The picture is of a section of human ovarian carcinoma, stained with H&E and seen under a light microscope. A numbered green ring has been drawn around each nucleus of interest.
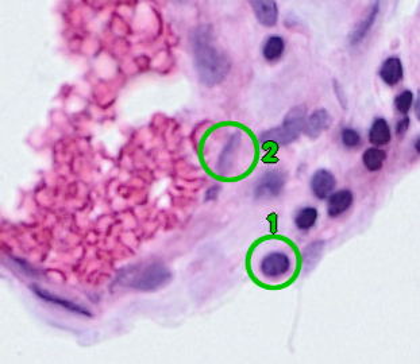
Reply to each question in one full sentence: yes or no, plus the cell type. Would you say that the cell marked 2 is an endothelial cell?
Yes, the cell sitting at number 2 is an endothelial cell.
